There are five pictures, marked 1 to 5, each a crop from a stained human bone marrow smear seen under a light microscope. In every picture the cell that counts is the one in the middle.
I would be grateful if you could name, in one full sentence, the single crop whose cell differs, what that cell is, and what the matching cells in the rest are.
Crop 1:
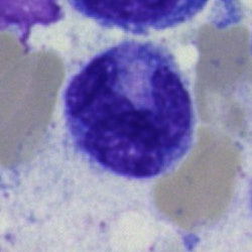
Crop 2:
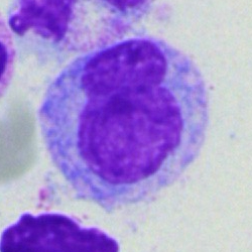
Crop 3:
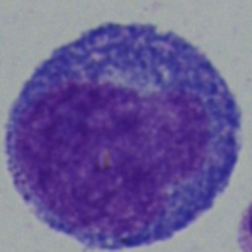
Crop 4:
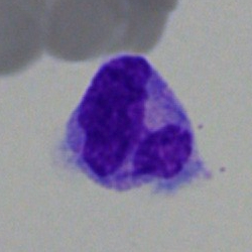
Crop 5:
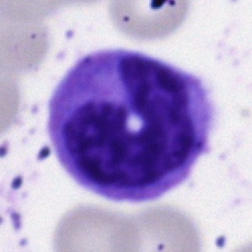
Crop 3 breaks the pattern as a promyelocyte; the other crops all contain monocytes.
